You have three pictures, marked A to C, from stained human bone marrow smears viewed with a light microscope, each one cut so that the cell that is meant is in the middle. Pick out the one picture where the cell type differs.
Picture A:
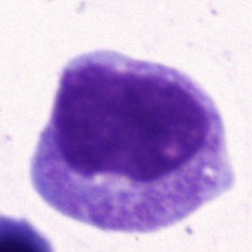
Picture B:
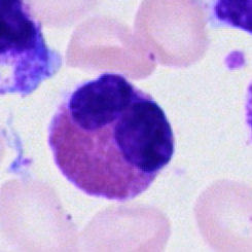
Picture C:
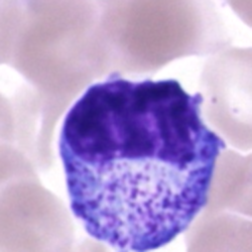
B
